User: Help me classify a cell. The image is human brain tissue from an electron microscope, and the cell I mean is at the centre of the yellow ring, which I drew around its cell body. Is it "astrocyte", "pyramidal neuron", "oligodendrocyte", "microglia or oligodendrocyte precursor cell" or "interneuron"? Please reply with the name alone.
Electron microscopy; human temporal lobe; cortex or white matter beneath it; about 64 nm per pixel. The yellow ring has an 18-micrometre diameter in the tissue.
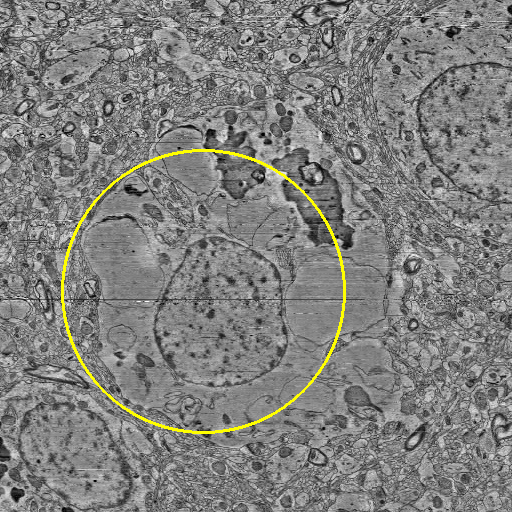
astrocyte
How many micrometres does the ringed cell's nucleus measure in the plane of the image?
About 9 micrometres across in this plane, for the nucleus.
